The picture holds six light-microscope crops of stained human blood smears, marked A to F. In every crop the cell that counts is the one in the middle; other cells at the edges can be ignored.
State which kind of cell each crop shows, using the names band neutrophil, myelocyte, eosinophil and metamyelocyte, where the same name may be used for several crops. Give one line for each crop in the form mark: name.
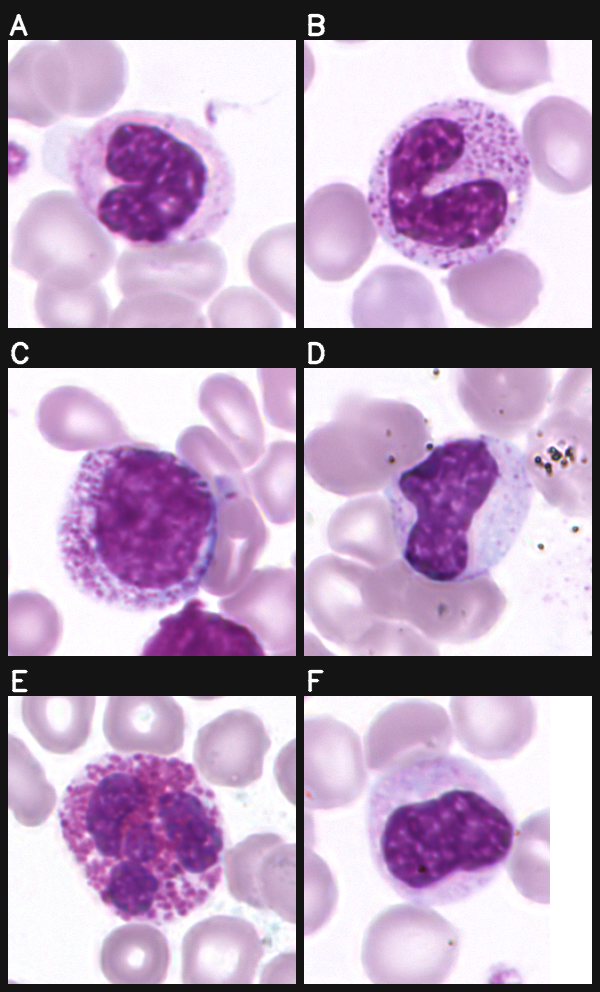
A: band neutrophil
B: band neutrophil
C: myelocyte
D: metamyelocyte
E: eosinophil
F: metamyelocyte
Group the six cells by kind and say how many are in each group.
band neutrophil: 2
metamyelocyte: 2
myelocyte: 1
eosinophil: 1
